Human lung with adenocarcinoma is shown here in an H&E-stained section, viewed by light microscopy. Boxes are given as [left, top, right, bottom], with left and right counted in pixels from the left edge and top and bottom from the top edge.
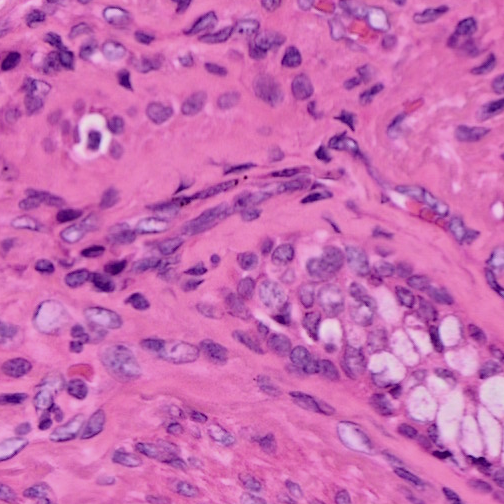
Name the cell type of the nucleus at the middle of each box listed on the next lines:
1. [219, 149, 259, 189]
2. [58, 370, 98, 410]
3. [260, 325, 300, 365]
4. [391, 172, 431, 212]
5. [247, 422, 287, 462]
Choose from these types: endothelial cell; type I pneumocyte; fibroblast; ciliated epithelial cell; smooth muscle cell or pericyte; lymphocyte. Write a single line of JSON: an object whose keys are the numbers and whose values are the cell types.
{"1": "fibroblast", "2": "lymphocyte", "3": "ciliated epithelial cell", "4": "endothelial cell", "5": "smooth muscle cell or pericyte"}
